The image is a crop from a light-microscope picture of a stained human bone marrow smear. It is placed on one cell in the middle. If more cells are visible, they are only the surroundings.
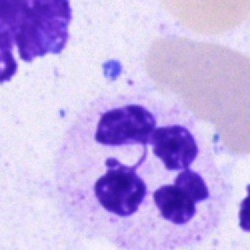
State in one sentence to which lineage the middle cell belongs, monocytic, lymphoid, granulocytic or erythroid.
What the central cell belongs to is the granulocytic lineage.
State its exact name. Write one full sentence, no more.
The cell at the middle of the frame should be recorded as a segmented neutrophil.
